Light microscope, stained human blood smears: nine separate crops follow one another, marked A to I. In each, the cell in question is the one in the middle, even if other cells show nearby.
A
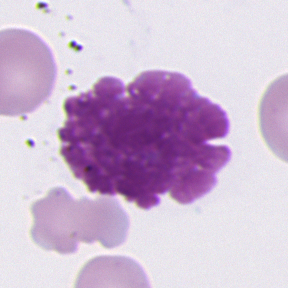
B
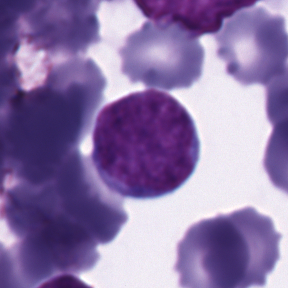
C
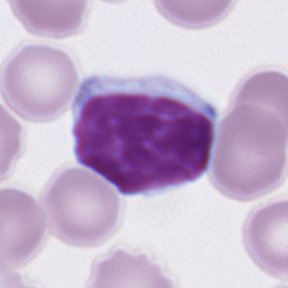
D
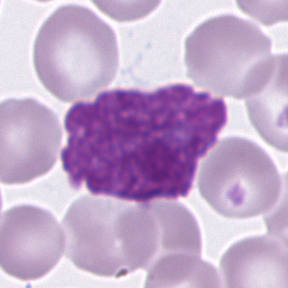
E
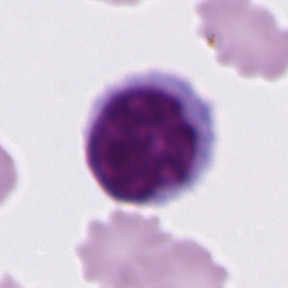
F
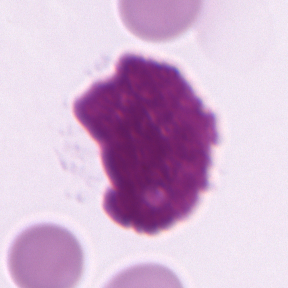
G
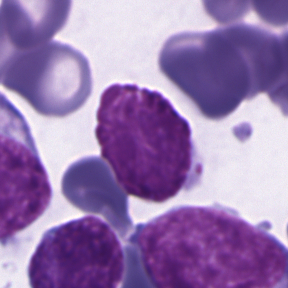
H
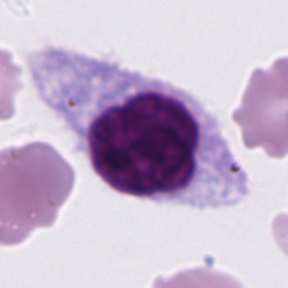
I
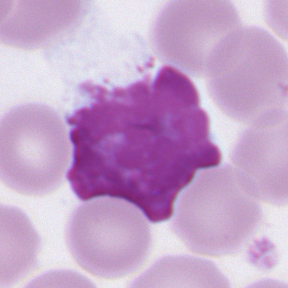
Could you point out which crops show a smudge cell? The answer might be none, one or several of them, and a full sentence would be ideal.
What crops A, D, F and I show in the middle are smudge cells.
